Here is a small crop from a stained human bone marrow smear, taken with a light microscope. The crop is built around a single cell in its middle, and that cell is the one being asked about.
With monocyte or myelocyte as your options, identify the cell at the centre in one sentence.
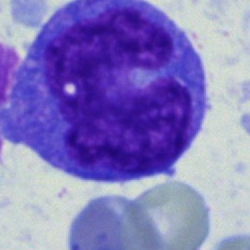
What sits at the centre of this crop is a monocyte.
